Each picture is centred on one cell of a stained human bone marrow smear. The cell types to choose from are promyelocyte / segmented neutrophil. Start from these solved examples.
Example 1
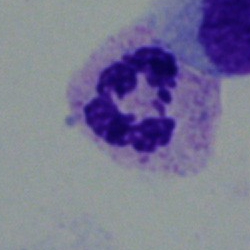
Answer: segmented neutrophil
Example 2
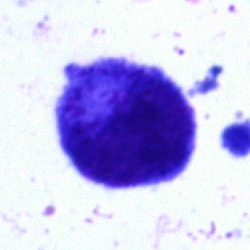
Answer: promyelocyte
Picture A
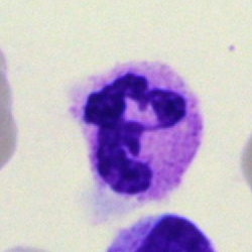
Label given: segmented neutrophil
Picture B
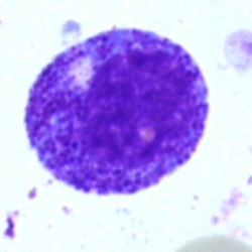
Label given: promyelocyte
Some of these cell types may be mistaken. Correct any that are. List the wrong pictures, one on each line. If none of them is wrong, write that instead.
All correct.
